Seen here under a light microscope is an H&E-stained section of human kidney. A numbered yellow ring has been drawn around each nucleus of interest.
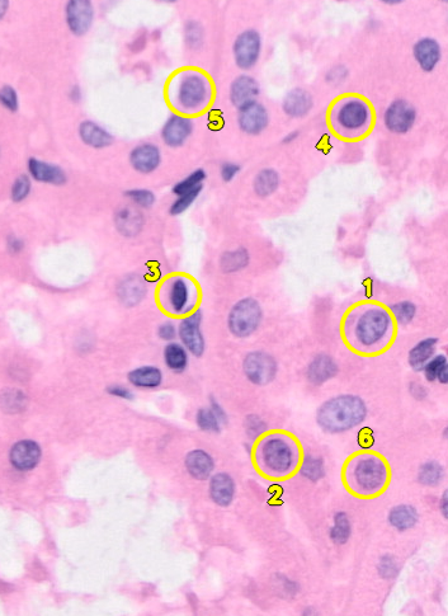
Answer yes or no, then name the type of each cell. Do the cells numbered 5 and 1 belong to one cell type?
No, cell 5 is a loop of Henle or distal tubule cell and cell 1 is a proximal tubule cell.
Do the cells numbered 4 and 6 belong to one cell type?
Yes, both are proximal tubule cells.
